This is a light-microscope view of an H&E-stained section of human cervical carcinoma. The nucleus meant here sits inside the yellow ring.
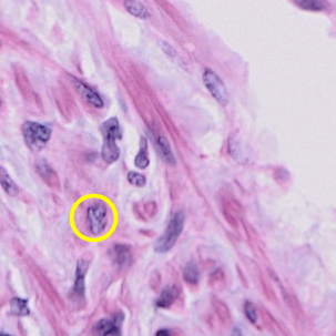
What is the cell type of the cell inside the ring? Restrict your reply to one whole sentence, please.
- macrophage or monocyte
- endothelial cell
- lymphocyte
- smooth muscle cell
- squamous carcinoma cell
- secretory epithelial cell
Typologically, the cell inside the ring is an endothelial cell in this section.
